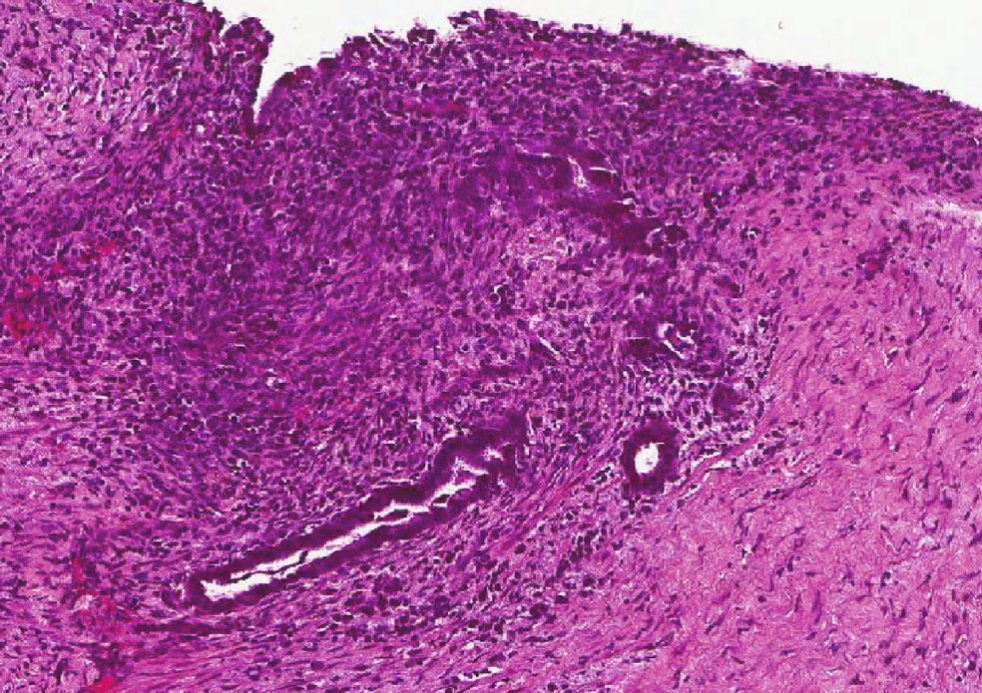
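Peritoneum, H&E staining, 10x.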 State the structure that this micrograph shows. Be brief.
endometrial glands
